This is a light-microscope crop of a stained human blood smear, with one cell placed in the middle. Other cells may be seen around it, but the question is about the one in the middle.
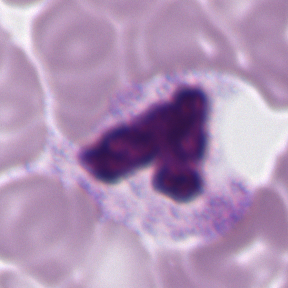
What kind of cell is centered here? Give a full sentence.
In the middle of this smear crop is a neutrophil.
